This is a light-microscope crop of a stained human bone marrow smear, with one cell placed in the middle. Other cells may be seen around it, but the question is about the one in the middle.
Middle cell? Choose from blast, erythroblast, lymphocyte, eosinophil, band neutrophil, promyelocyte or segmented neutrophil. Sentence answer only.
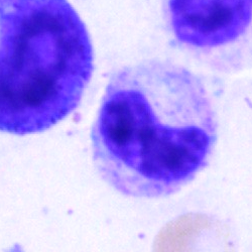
The crop's centre is taken up by a band neutrophil.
